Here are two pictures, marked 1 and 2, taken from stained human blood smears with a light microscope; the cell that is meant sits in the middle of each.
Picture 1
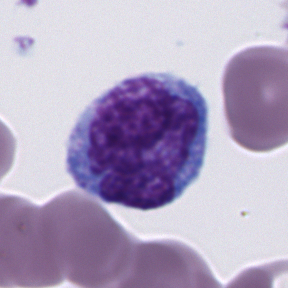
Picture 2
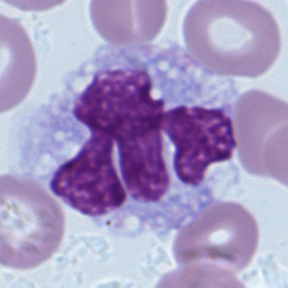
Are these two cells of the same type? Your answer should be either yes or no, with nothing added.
yes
